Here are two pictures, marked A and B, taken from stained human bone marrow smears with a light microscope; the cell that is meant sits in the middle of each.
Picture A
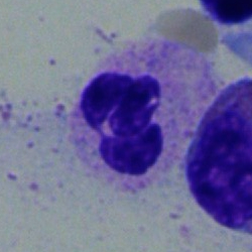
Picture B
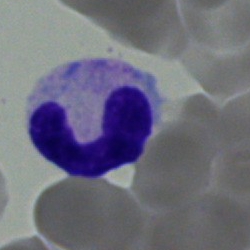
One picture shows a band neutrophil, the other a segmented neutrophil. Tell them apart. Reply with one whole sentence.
The cell in picture A is a segmented neutrophil, and the one in picture B is a band neutrophil.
